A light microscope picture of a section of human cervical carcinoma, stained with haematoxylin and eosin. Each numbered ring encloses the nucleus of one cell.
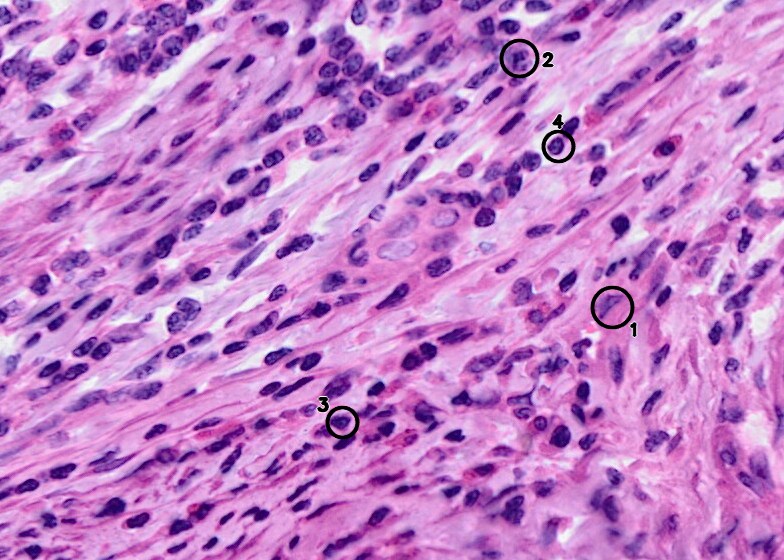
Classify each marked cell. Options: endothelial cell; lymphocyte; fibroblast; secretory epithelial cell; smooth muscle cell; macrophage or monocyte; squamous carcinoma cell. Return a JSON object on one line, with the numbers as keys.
{"1": "endothelial cell", "2": "lymphocyte", "3": "lymphocyte", "4": "lymphocyte"}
